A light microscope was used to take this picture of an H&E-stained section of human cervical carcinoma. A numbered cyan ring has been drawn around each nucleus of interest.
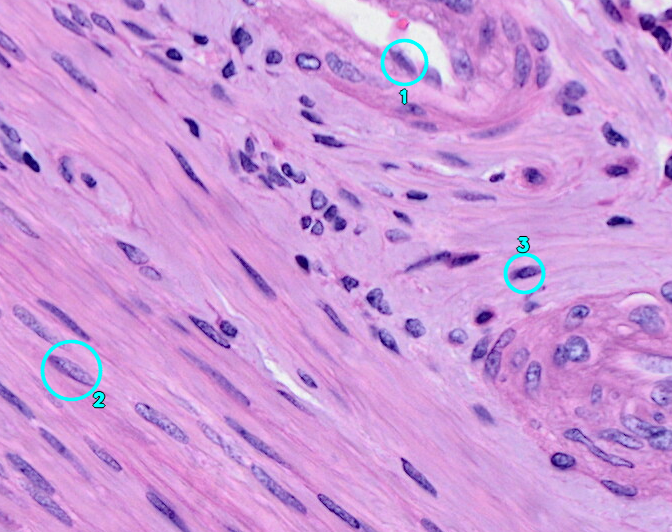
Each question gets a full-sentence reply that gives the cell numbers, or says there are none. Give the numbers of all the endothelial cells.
Cell 1 alone, of all the numbered cells, is an endothelial cell.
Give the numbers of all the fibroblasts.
Exactly one numbered cell is a fibroblast, and that cell is number 3.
